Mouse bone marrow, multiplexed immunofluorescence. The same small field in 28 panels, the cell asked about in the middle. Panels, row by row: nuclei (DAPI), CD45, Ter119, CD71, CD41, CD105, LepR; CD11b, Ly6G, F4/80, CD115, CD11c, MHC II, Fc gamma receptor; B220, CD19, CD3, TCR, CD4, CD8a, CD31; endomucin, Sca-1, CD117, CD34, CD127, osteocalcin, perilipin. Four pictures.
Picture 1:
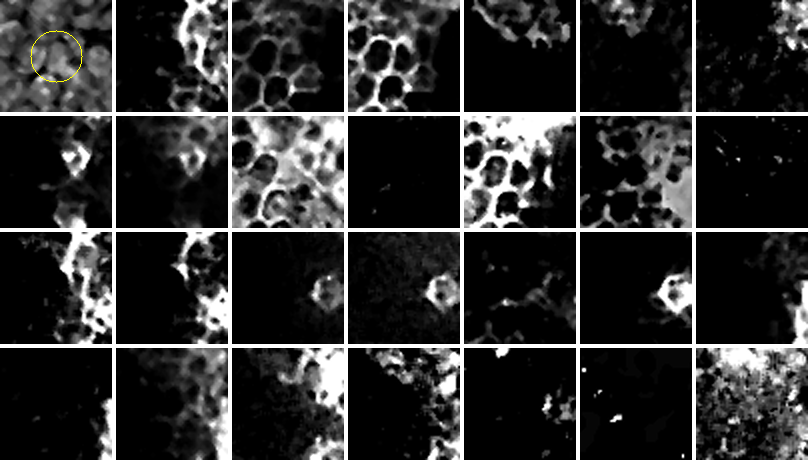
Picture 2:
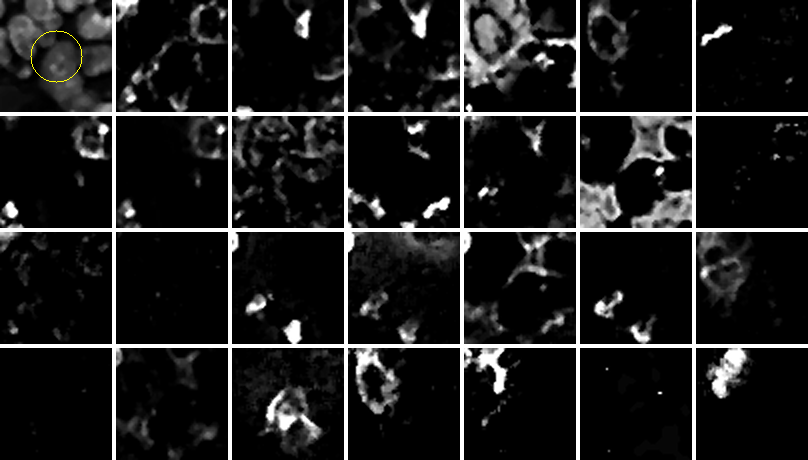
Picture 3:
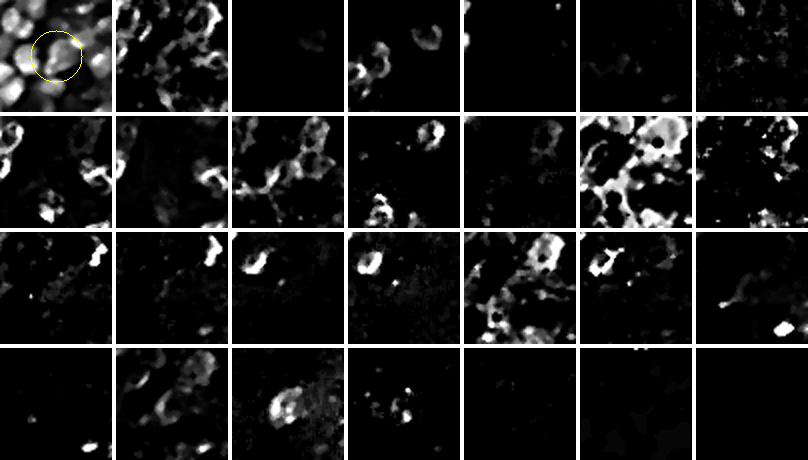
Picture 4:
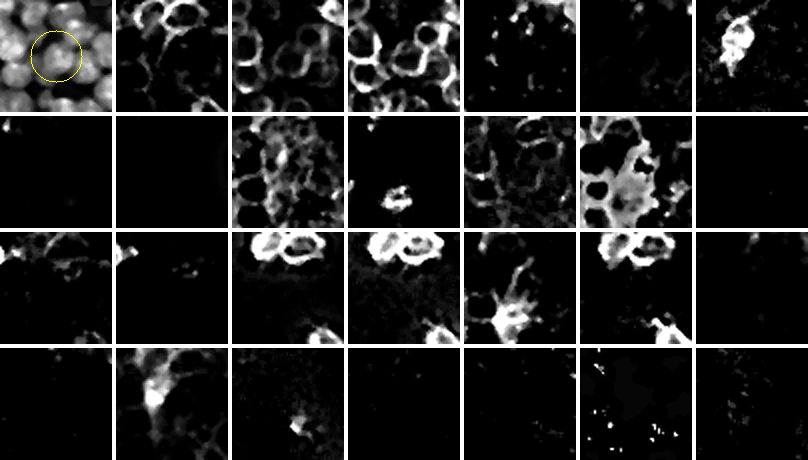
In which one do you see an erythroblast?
In picture 1.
